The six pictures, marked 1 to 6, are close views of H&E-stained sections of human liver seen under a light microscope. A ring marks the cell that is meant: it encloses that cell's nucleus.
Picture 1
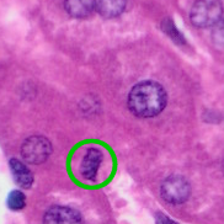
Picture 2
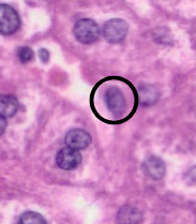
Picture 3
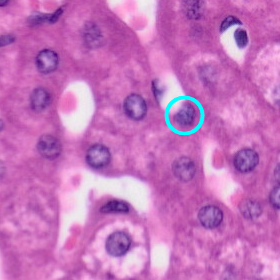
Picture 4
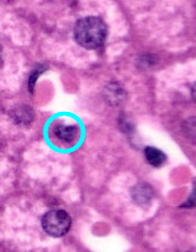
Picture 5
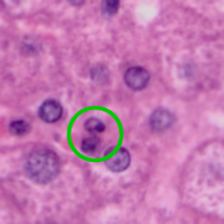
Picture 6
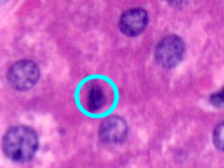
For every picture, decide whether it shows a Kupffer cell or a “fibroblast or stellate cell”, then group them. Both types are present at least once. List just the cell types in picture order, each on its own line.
fibroblast or stellate cell
Kupffer cell
fibroblast or stellate cell
fibroblast or stellate cell
Kupffer cell
fibroblast or stellate cell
